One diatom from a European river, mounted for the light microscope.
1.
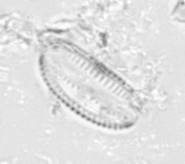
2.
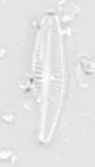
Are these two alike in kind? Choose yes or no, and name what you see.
No. First Amphora, second Achnanthidium.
